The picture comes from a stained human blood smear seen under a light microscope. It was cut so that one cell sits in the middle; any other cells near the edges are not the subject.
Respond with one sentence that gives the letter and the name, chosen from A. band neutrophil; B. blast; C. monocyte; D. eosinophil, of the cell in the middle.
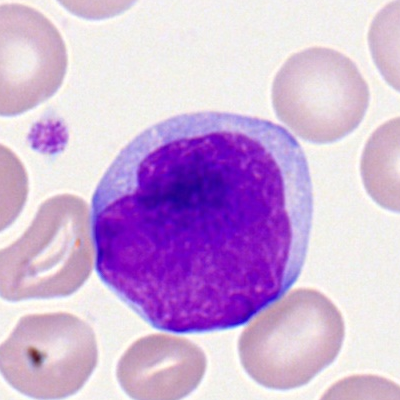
The central cell is a blast, which makes option B the right answer.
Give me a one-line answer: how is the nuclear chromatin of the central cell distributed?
Its chromatin is finely dispersed rather than coarsely clumped.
